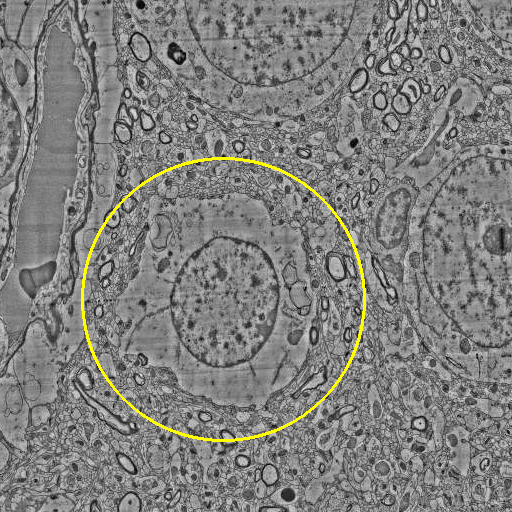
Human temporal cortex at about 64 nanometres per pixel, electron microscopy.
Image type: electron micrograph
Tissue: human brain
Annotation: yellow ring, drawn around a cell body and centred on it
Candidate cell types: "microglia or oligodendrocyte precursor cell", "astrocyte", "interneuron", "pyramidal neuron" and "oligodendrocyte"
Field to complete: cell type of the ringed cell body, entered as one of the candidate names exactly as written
astrocyte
